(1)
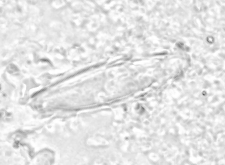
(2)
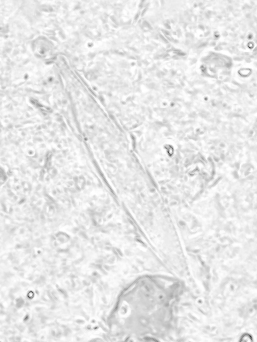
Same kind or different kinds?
Different: the first is Achnanthidium, the second Nitzschia.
